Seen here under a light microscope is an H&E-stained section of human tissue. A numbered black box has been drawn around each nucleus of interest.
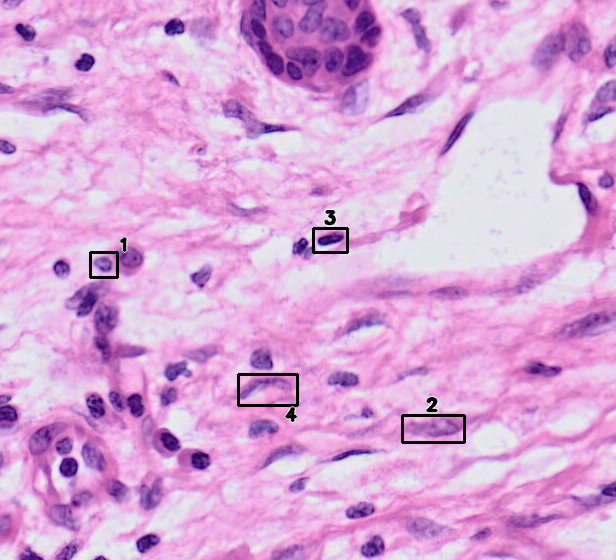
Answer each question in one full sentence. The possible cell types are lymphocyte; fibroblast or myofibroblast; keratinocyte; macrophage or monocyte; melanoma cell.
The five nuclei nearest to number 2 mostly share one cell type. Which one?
Around number 2, most of the five nearest nuclei are those of fibroblasts or myofibroblasts.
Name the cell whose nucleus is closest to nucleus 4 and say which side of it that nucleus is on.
It is a lymphocyte, whose nucleus lies above nucleus 4.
